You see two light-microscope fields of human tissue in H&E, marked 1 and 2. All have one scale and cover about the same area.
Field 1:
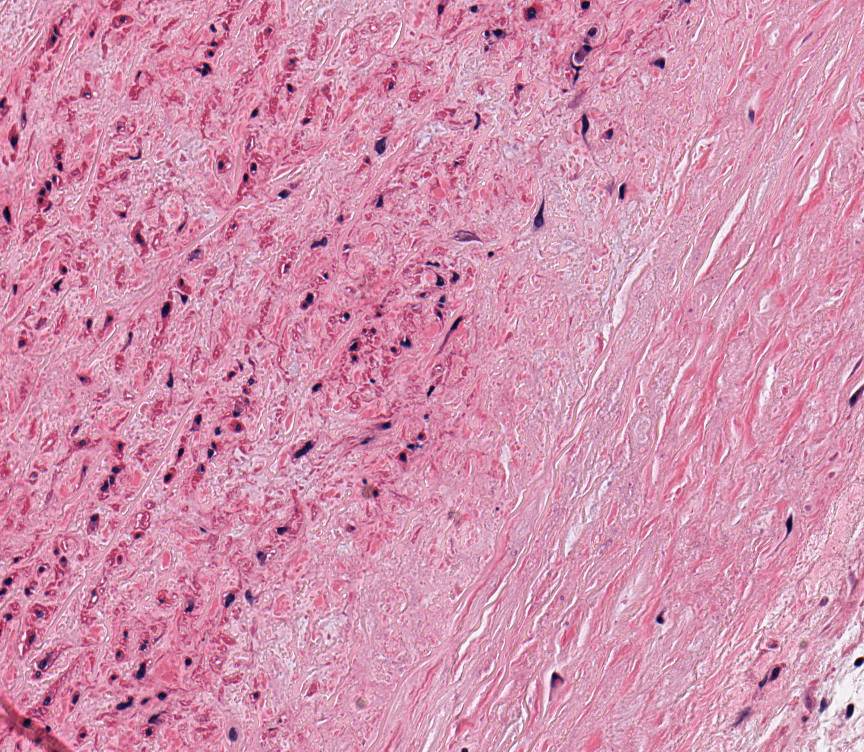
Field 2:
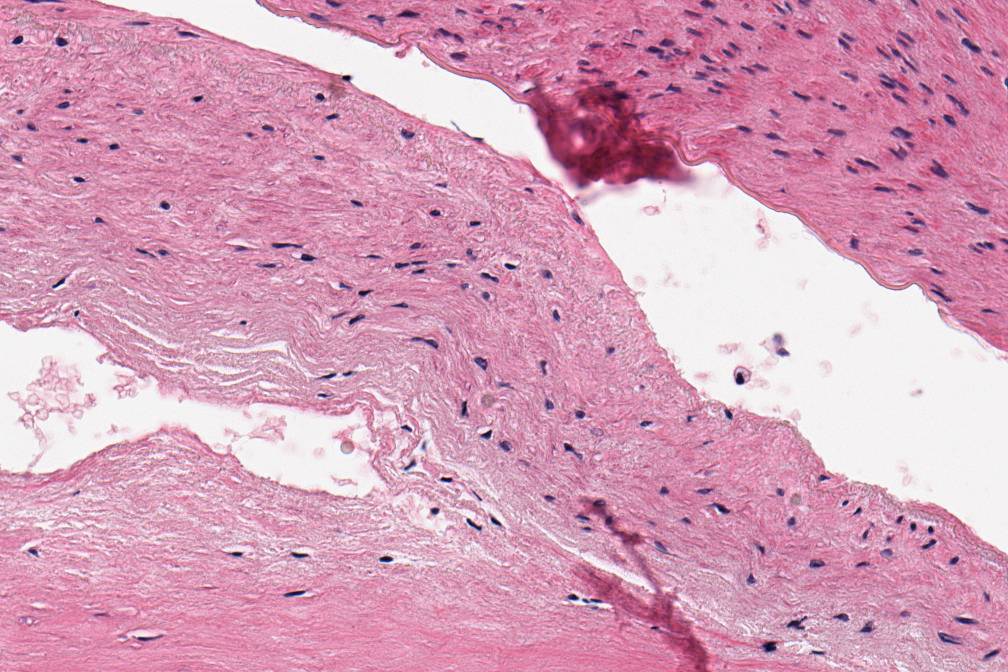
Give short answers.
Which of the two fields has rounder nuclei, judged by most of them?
1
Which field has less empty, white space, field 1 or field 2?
1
